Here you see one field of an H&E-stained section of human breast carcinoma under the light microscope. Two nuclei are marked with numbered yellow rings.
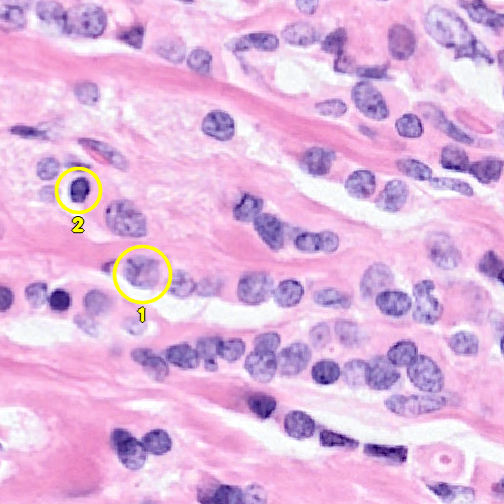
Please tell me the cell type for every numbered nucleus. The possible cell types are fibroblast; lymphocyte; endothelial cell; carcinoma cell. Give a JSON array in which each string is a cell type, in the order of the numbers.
["carcinoma cell", "lymphocyte"]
